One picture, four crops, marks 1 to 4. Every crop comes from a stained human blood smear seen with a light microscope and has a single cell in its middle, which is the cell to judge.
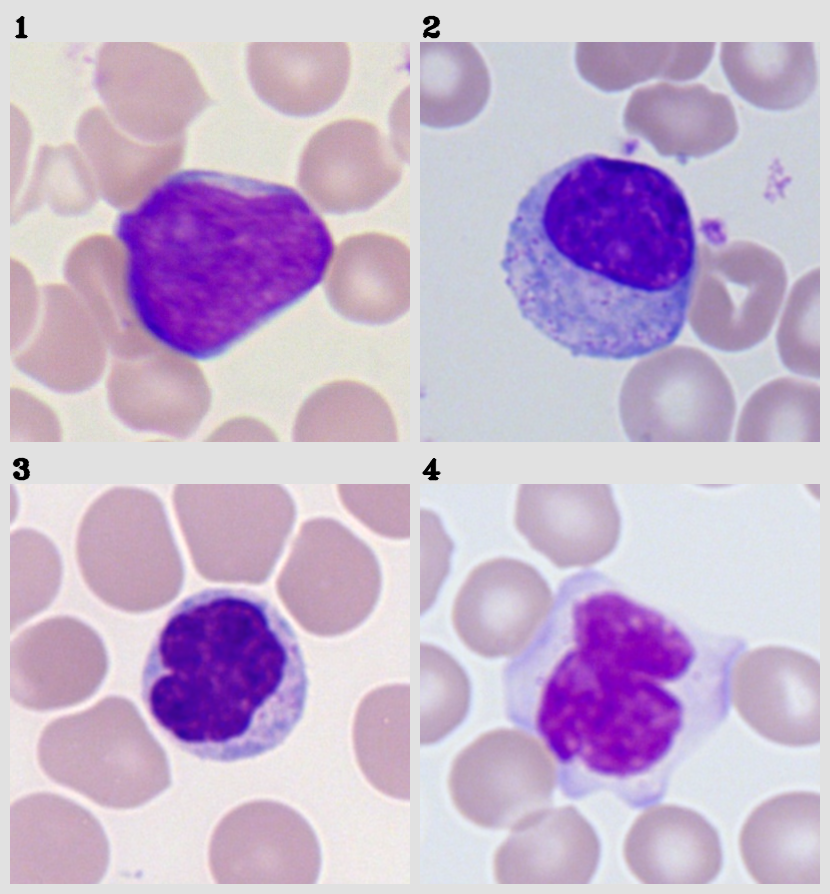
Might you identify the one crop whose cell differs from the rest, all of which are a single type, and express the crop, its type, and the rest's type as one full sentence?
The different crop is 1; it is a blast, and the others all show lymphocytes.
